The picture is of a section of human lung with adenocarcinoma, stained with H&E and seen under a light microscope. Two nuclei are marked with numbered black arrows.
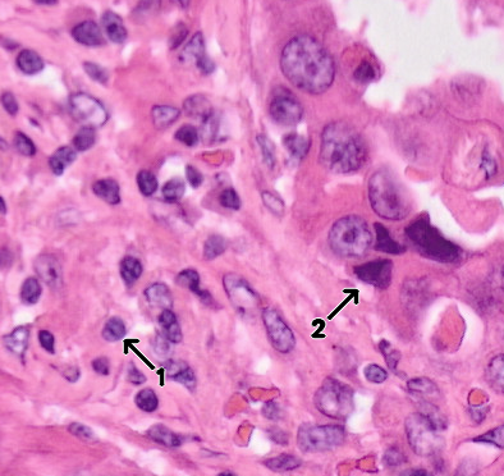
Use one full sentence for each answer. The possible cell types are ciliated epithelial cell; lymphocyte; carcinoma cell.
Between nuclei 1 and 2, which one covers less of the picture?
Nucleus 1 is the smaller one; nucleus 2 covers about 2 times its area.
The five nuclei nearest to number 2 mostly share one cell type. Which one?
Around number 2, most of the five nearest nuclei are those of carcinoma cells.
